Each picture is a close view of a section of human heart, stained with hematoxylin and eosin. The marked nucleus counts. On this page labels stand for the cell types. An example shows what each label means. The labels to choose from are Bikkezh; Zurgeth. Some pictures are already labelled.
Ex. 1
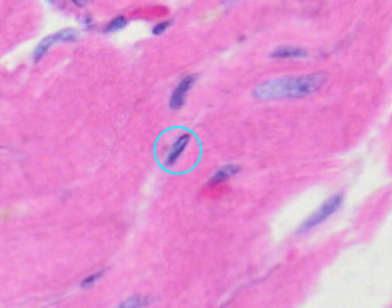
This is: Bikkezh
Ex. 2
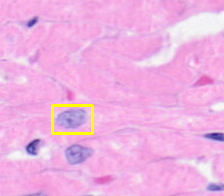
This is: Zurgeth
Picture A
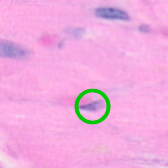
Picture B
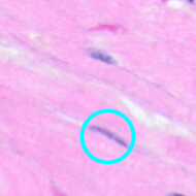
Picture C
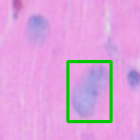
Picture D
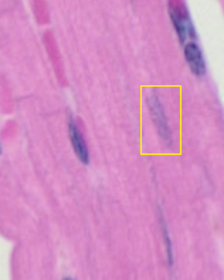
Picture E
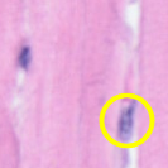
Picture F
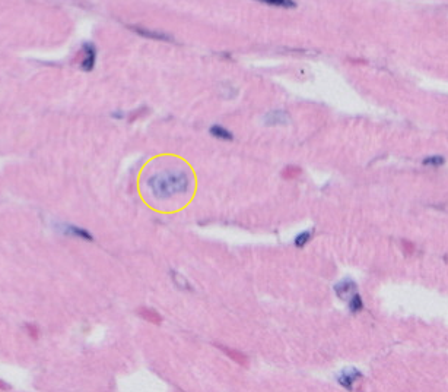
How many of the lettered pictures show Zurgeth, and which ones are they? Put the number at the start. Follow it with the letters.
Count: 3 (C, D, F)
